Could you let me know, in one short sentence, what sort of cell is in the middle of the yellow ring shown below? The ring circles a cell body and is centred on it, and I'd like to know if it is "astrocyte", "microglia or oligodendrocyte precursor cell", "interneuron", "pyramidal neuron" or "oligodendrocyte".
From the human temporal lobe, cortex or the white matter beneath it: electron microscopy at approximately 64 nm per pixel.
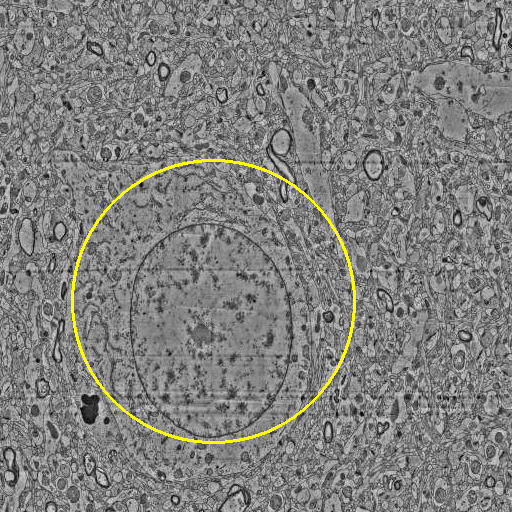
The ring circles the cell body of a pyramidal neuron.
